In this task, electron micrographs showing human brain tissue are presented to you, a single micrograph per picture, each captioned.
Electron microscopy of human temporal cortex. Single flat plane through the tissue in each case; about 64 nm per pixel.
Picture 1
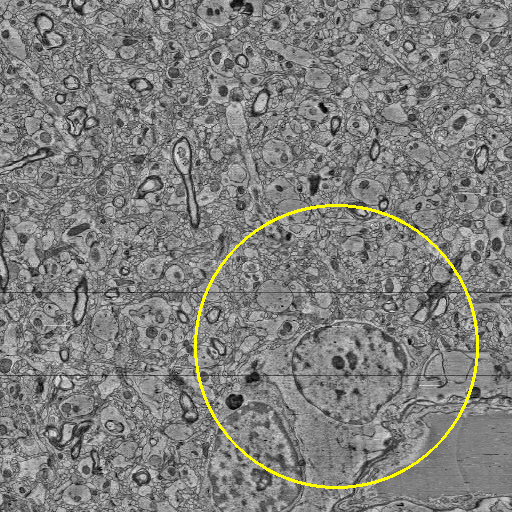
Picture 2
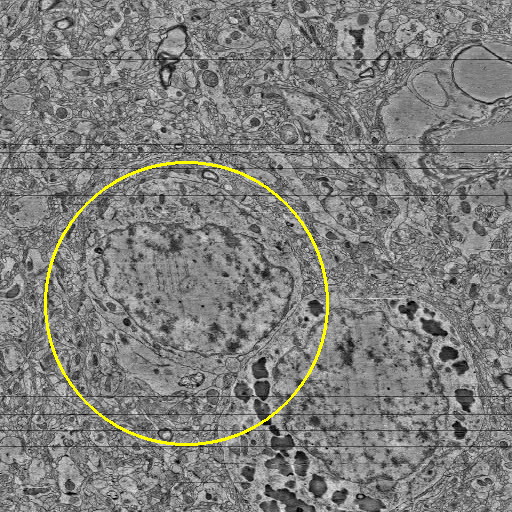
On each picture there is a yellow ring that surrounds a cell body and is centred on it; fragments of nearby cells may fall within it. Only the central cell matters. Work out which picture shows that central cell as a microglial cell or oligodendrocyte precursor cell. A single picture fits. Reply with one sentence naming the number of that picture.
Of all the pictures, number 1 has the right cell in the centre of its ring.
